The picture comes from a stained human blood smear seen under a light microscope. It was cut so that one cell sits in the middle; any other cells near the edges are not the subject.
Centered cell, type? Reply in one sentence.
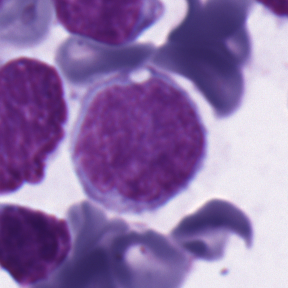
Here the centrally located cell is a blast.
